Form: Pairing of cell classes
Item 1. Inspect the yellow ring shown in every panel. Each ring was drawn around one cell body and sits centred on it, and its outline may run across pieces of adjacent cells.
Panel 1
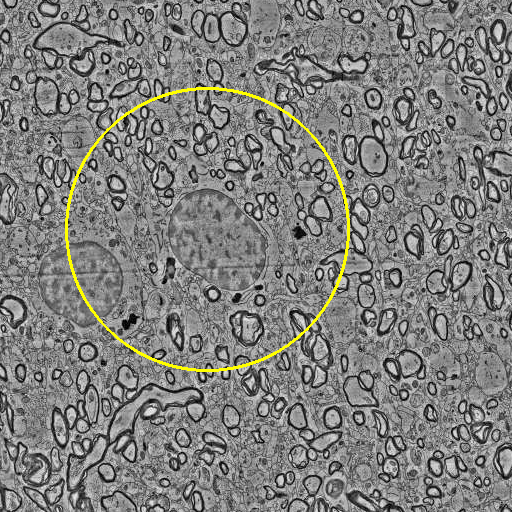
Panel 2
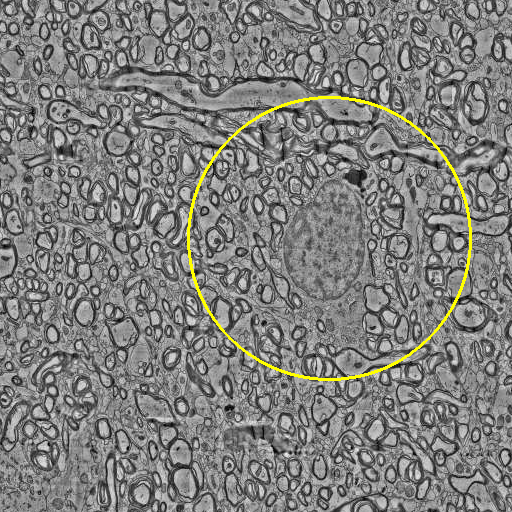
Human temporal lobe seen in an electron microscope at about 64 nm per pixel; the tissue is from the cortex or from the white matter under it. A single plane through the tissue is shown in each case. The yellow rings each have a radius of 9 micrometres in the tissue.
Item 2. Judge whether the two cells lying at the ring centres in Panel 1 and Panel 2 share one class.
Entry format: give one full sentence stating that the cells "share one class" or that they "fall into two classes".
The cells at the ring centres in Panel 1 and Panel 2 fall into two classes.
